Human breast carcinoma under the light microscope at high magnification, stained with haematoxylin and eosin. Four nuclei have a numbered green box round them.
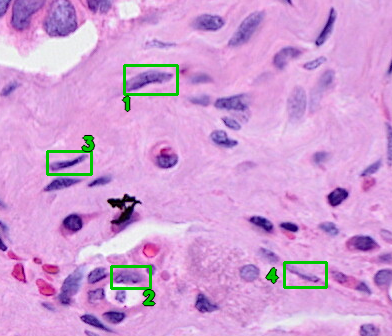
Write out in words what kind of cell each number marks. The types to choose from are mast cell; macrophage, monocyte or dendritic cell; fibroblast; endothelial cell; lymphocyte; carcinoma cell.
Cells 1, 3 and 4 are fibroblasts. Cell 2 is an endothelial cell.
